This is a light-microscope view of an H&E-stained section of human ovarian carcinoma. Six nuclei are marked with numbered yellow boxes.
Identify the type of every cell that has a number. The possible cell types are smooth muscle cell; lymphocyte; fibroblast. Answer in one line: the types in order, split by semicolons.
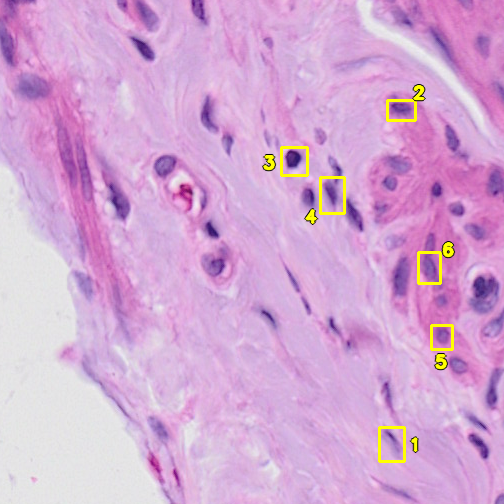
fibroblast; smooth muscle cell; lymphocyte; fibroblast; smooth muscle cell; smooth muscle cell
